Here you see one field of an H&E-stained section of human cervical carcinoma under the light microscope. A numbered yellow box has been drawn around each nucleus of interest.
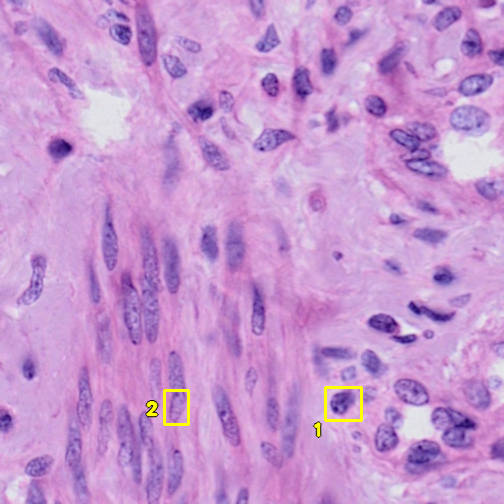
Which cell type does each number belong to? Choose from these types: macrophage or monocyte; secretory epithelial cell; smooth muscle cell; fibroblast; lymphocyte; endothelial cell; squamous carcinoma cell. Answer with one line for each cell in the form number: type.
1: lymphocyte
2: smooth muscle cell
